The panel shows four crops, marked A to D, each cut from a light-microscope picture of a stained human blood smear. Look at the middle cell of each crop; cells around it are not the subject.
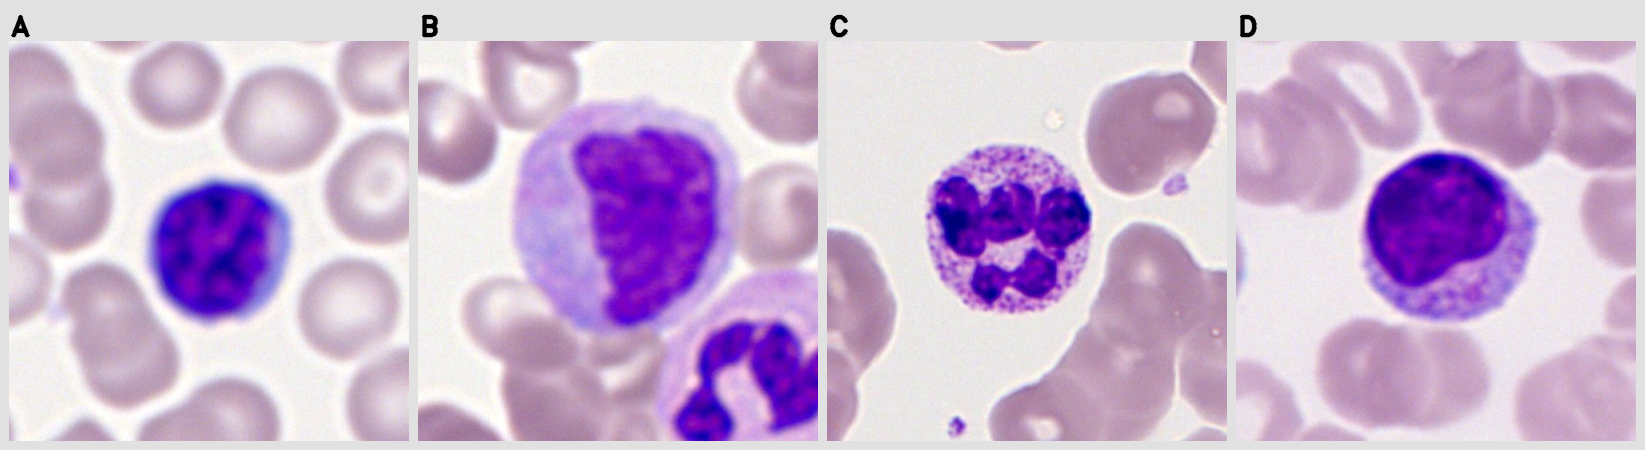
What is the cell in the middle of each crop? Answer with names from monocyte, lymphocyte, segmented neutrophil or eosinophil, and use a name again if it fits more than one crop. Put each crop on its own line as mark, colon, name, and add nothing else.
A: lymphocyte
B: monocyte
C: segmented neutrophil
D: lymphocyte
